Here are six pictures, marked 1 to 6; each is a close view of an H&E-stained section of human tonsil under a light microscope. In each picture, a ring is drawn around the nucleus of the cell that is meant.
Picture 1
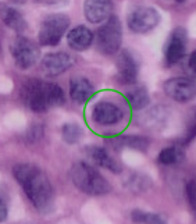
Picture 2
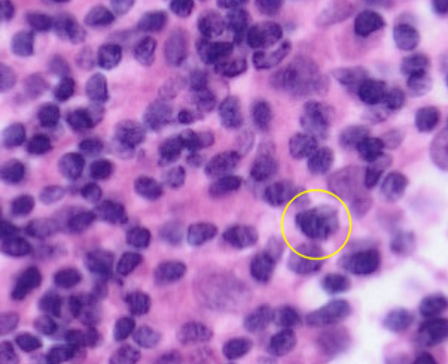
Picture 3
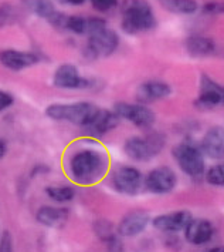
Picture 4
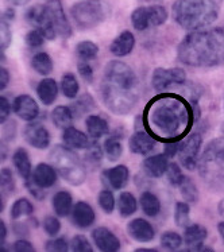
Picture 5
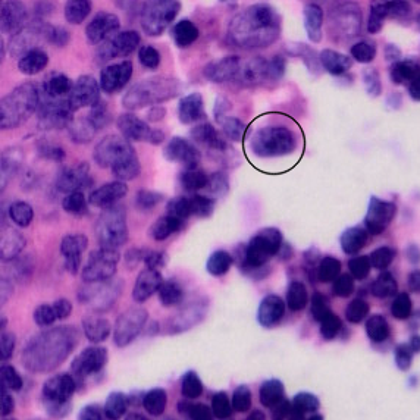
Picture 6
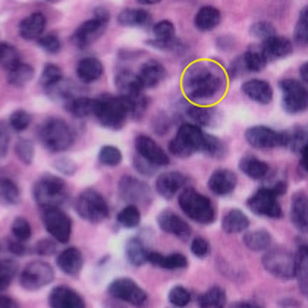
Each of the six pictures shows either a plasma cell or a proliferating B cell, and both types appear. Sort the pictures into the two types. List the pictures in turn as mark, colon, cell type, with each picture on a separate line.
1: plasma cell
2: proliferating B cell
3: plasma cell
4: proliferating B cell
5: proliferating B cell
6: proliferating B cell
